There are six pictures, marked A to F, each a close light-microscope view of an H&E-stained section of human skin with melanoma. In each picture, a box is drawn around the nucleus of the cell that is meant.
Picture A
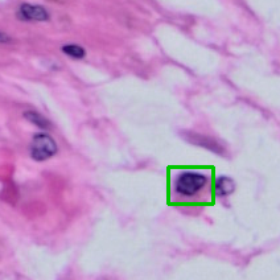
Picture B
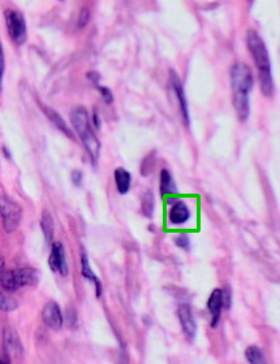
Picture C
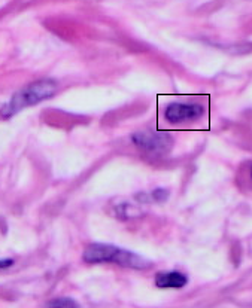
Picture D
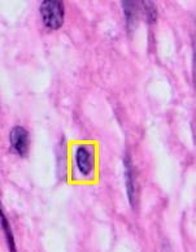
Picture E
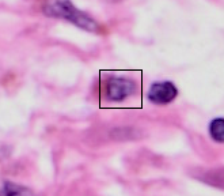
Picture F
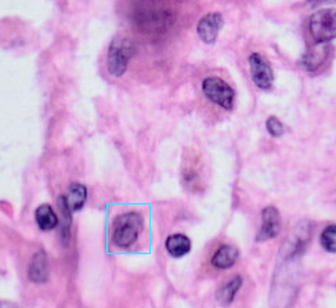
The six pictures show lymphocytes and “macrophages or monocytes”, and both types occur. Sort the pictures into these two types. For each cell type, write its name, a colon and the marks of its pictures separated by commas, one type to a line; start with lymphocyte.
lymphocyte: B, D
macrophage or monocyte: A, C, E, F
